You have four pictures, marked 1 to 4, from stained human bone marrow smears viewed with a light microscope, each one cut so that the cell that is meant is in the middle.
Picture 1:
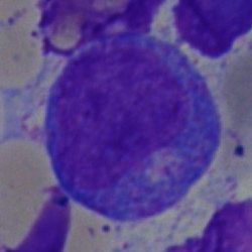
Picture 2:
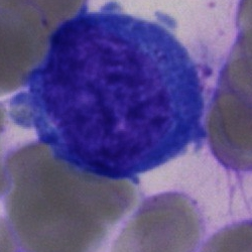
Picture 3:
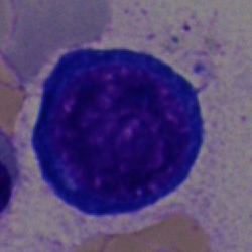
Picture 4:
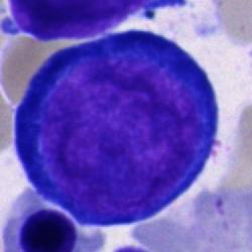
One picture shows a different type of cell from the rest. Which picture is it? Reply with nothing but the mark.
1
